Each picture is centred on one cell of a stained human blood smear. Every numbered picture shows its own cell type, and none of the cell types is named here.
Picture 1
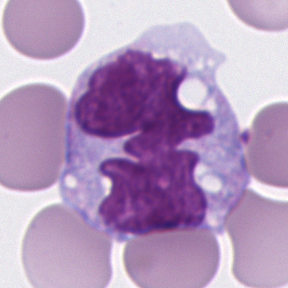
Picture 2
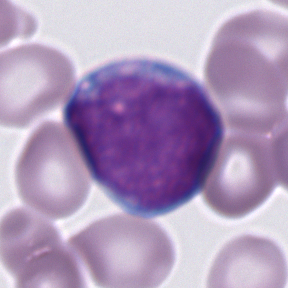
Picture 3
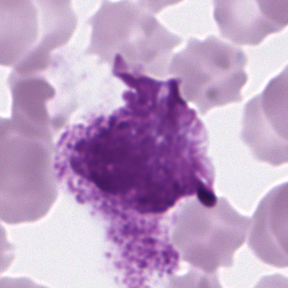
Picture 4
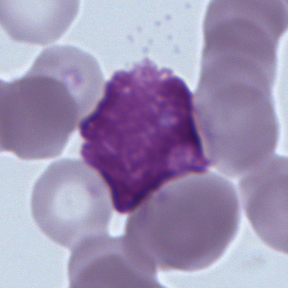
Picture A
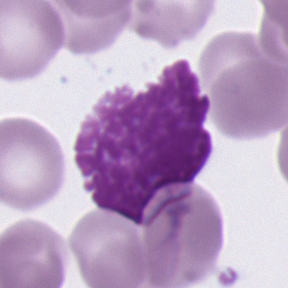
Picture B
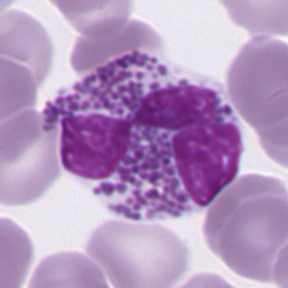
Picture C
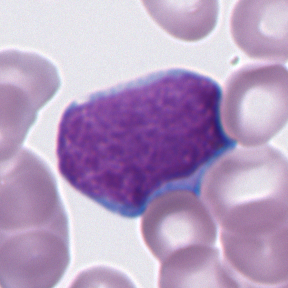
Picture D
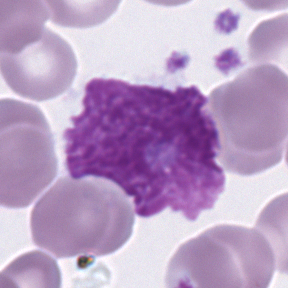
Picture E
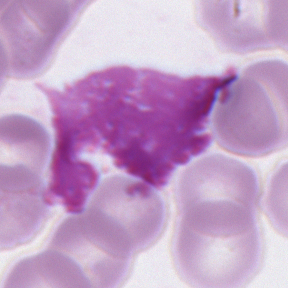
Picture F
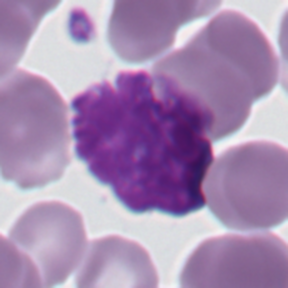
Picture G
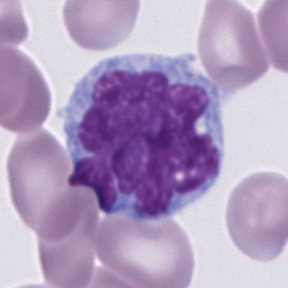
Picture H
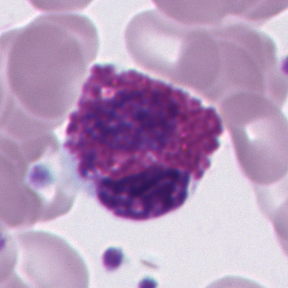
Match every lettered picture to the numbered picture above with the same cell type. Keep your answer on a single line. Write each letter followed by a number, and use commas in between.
A 4, B 3, C 2, D 4, E 4, F 4, G 1, H 3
